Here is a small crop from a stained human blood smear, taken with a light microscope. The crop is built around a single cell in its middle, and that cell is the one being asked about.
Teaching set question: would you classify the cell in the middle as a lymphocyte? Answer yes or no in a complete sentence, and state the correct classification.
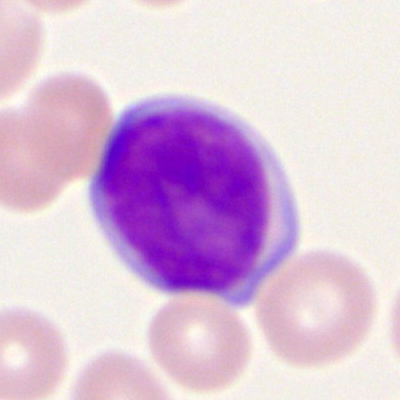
No, the cell at the centre is categorised not as a lymphocyte but as a myeloblast.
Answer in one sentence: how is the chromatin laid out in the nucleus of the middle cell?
What stands out is fine chromatin lacking any coarse clumps.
